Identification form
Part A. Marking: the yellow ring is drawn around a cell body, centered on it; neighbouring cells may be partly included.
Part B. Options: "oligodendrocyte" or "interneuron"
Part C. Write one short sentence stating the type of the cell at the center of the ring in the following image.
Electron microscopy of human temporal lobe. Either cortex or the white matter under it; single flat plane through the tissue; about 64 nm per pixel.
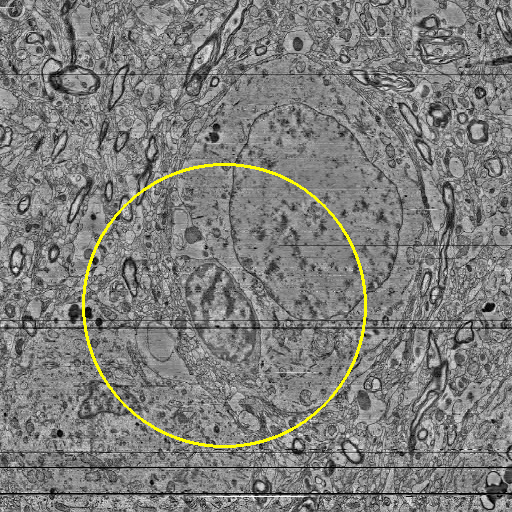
The center of the ring holds an oligodendrocyte.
